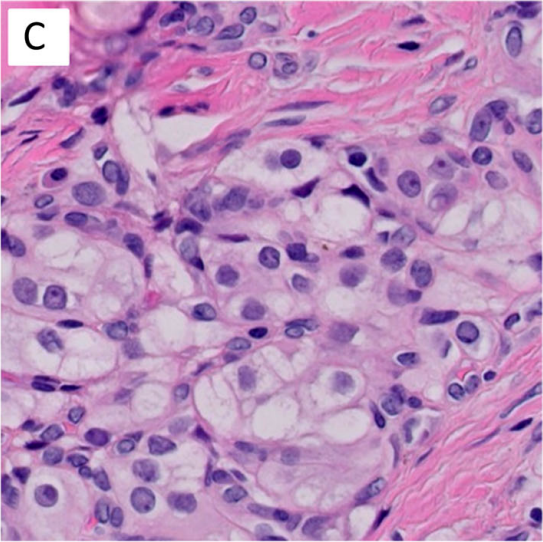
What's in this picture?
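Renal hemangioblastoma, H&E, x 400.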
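These are tumor cells lying in nests, and many of them have cytoplasm filled with numerous sharply bordered clear vacuoles. The vacuoles are round and vary in size, giving the cells a bubbly, foamy look. The nuclei are round to oval with fairly even chromatin, and in some cells they sit to one side, dented by the vacuoles. Between the nests run bands of bright pink collagen, with a few thin, dark, elongated nuclei along them. Other tumor cells nearby have pinker, less vacuolated cytoplasm.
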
